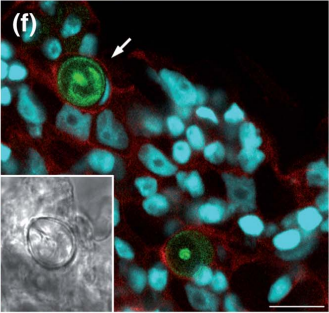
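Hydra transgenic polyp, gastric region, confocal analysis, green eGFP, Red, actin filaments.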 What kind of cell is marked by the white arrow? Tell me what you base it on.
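The arrow points to a round capsule with a green wall. A bright green structure lies inside the capsule.
Conclusion: stenotele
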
